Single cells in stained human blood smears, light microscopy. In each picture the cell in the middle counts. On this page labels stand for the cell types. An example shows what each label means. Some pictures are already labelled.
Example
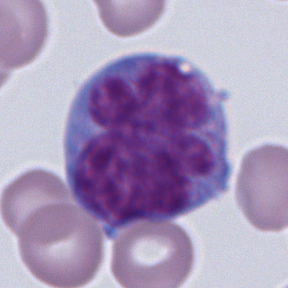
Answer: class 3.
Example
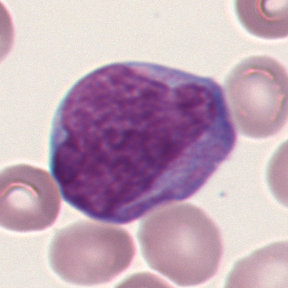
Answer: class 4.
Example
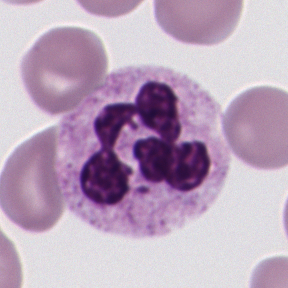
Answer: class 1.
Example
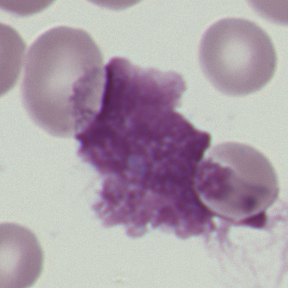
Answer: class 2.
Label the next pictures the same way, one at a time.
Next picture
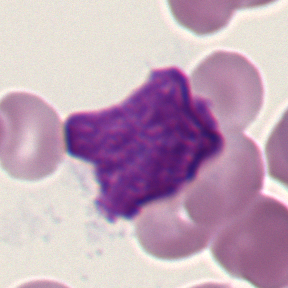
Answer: class 2.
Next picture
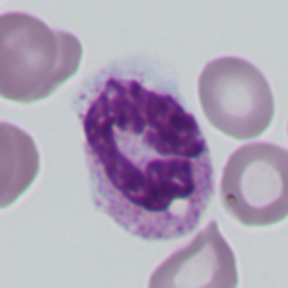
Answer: class 1.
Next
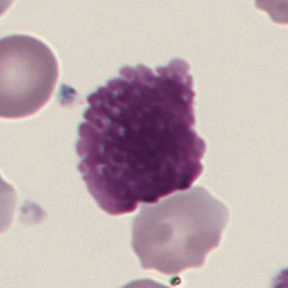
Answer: class 2.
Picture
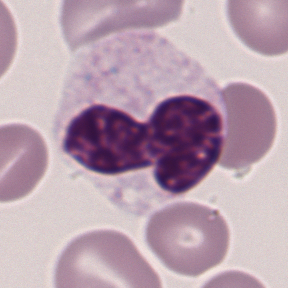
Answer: class 1.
